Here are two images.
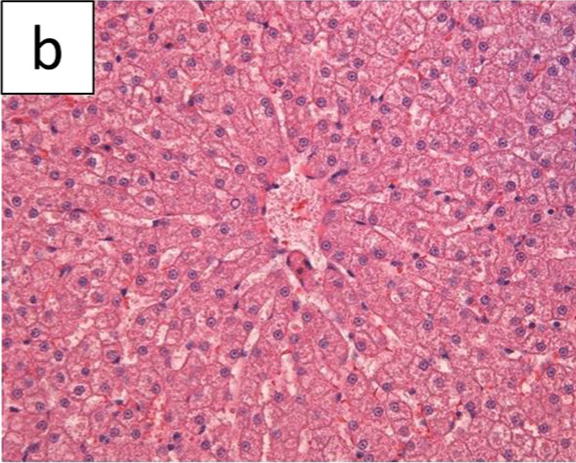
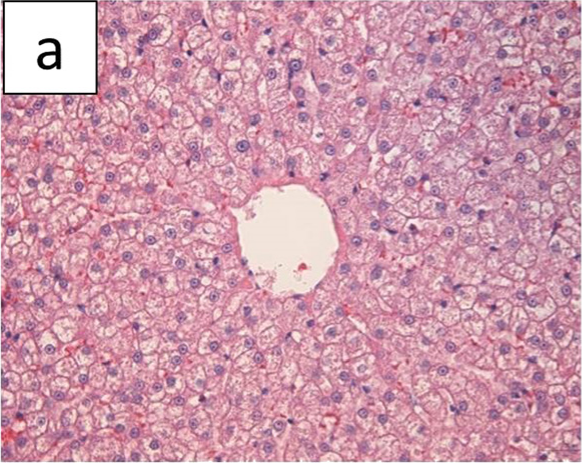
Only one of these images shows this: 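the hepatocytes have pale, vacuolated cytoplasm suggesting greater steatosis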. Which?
The second image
